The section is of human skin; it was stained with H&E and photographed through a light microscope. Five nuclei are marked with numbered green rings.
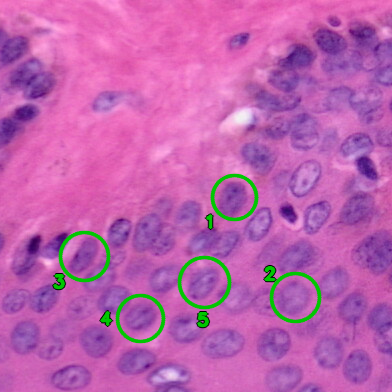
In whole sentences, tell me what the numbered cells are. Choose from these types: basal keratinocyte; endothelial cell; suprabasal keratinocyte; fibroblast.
Cells 1 and 3 are basal keratinocytes. Cells 2, 4 and 5 are suprabasal keratinocytes.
